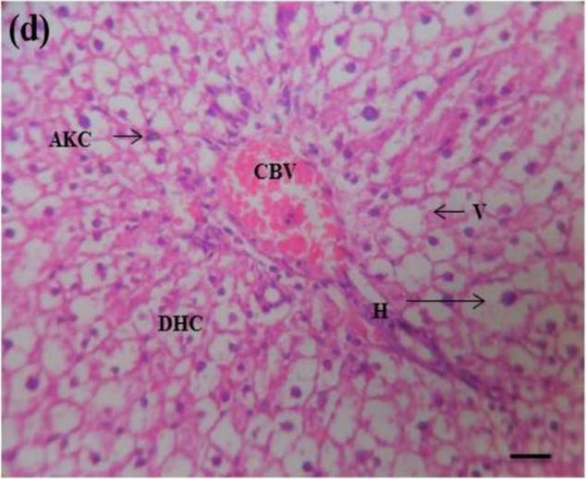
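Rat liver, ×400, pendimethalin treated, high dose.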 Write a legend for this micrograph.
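Most hepatocytes are filled with large clear vacuoles, so that only thin pink cell outlines and purple nuclei remain visible. Dark, elongated nuclei crowd along the strand of tissue beside the vessel.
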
